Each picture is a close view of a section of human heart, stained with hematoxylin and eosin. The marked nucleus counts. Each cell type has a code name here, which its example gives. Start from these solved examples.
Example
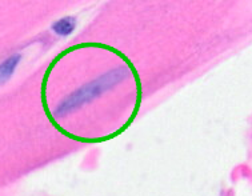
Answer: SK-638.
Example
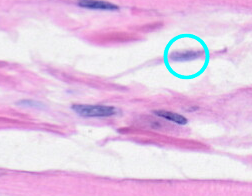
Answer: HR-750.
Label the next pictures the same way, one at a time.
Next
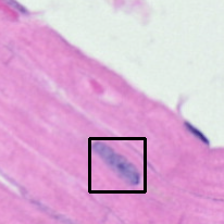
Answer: SK-638.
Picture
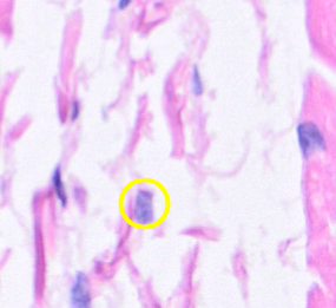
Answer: HR-750.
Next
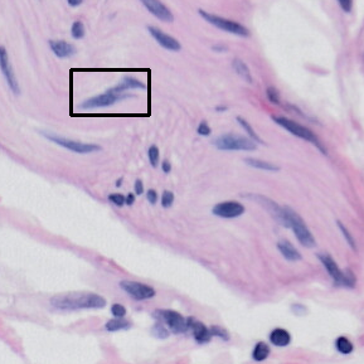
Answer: HR-750.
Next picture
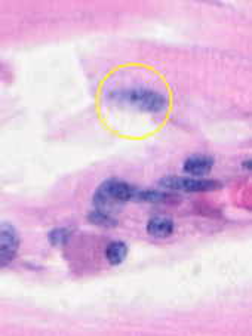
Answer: HR-750.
